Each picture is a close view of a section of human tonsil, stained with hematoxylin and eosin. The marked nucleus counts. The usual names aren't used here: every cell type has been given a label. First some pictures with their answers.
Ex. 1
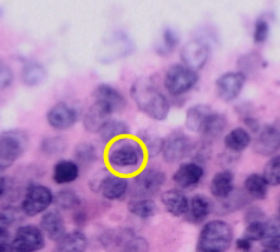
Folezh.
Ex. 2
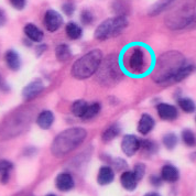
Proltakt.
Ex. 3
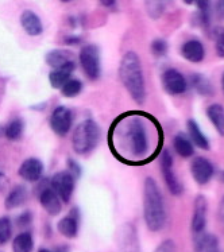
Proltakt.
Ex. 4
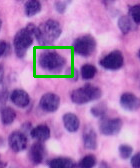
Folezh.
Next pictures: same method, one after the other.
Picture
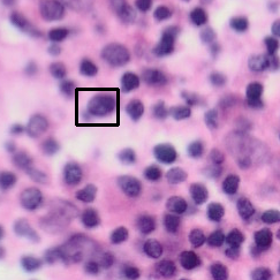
Folezh.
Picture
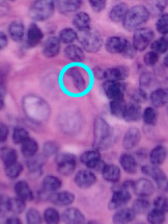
Proltakt.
